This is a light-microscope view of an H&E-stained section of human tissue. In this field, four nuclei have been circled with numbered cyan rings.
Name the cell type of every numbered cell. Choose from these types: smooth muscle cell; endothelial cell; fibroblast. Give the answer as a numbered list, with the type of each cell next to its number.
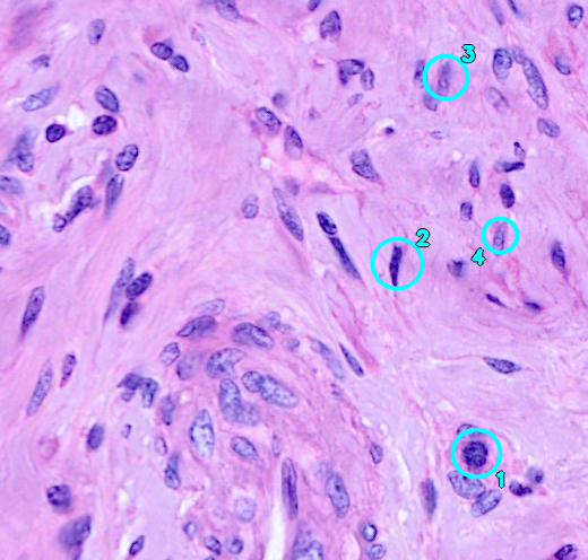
1. endothelial cell
2. fibroblast
3. fibroblast
4. smooth muscle cell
